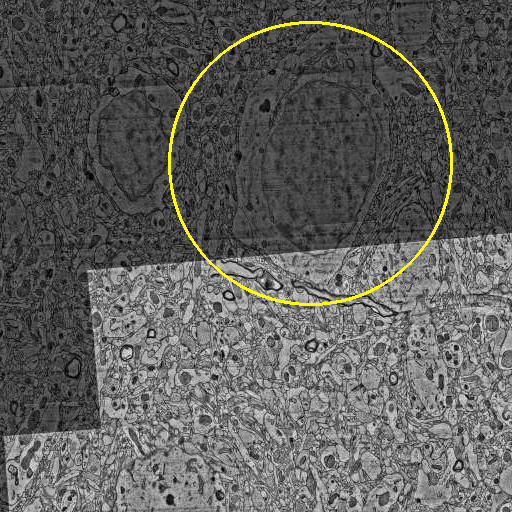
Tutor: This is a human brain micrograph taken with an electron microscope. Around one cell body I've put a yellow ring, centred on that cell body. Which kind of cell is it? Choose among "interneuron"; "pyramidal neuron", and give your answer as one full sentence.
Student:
Going by your list, the cell centred in the yellow ring is an interneuron.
